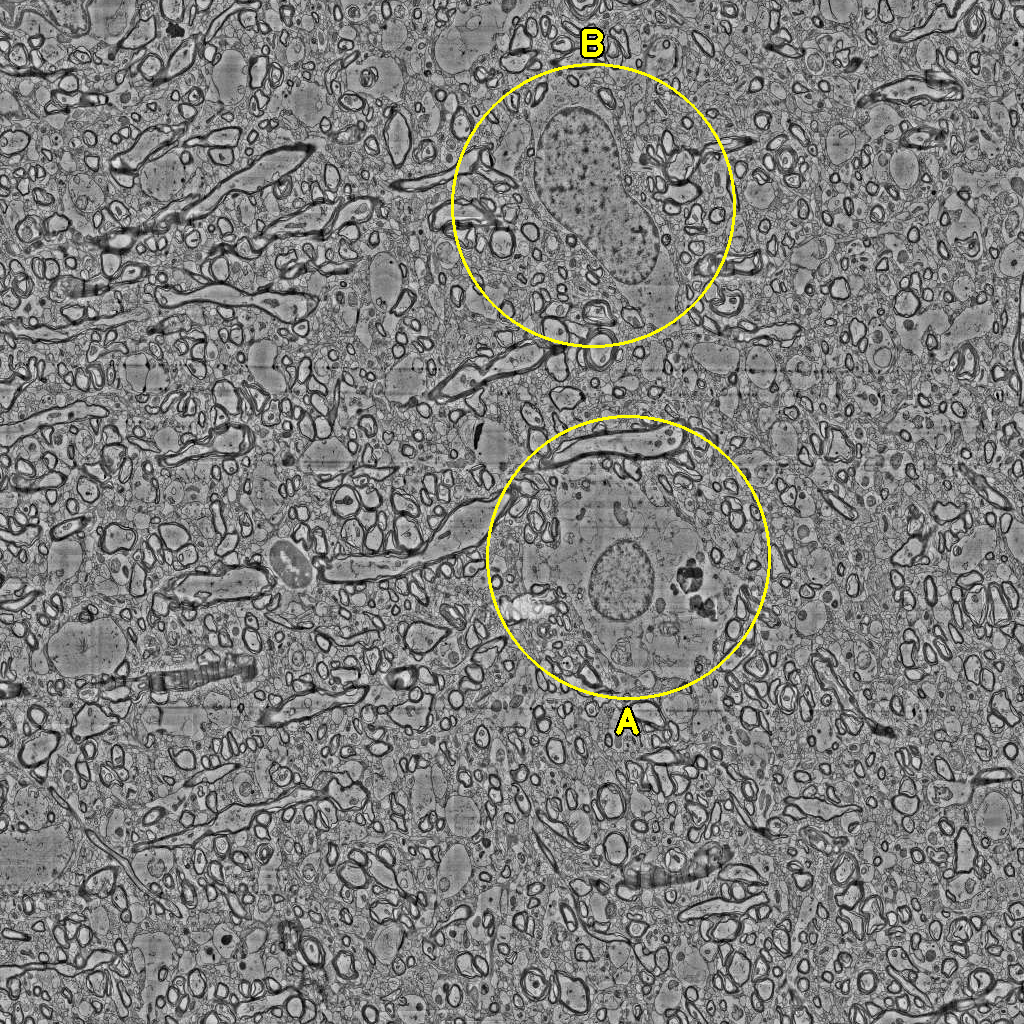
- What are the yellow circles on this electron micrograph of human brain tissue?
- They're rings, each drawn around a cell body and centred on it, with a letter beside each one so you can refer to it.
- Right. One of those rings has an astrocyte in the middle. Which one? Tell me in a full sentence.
It's ring A.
